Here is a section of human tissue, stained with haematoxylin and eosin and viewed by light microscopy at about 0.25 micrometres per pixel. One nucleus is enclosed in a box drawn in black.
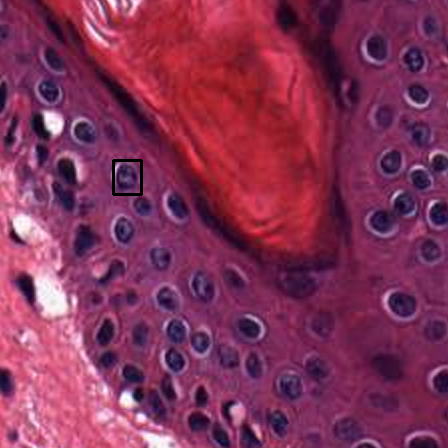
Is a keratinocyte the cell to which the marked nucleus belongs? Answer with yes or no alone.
yes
